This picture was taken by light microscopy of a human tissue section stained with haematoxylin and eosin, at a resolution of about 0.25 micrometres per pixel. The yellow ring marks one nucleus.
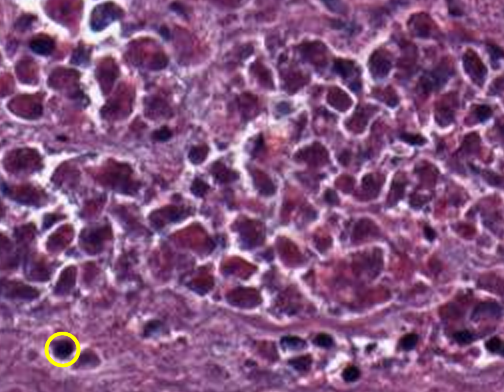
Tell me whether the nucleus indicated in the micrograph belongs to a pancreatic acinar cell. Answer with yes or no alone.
no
